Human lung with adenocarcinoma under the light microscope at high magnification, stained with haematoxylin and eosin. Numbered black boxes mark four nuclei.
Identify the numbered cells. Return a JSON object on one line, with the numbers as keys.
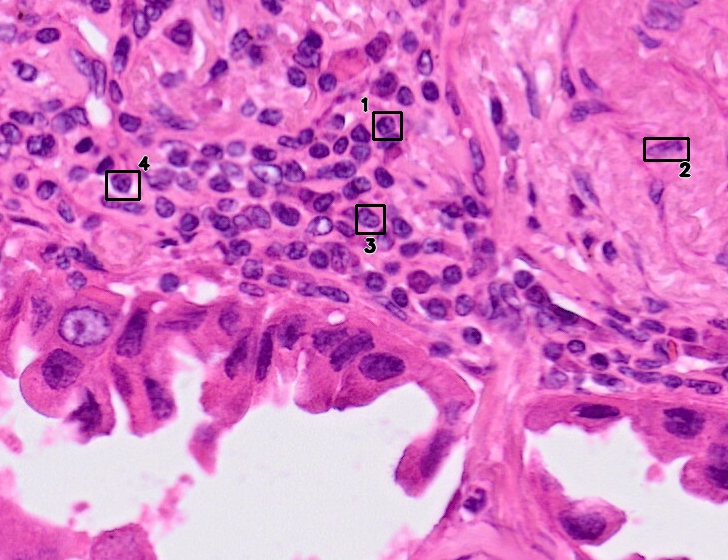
{"1": "lymphocyte", "2": "smooth muscle cell or pericyte", "3": "lymphocyte", "4": "lymphocyte"}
